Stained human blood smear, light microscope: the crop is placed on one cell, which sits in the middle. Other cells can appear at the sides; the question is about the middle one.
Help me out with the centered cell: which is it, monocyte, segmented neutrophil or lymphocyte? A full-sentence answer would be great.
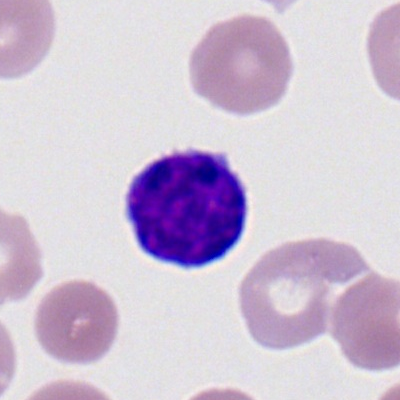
In the central position of this crop, the cell is a lymphocyte.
